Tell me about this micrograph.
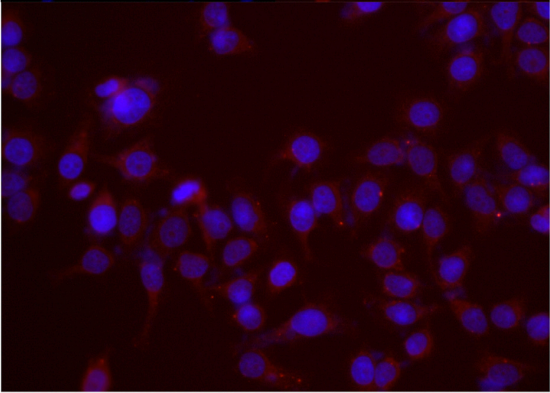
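Cultured cells grow loosely scattered and in small clusters, each with a large round to oval blue nucleus taking up much of the cell. A faint red glow fills the cytoplasm around the nuclei, with a few brighter red dots, and some cells send out short tapering processes.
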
